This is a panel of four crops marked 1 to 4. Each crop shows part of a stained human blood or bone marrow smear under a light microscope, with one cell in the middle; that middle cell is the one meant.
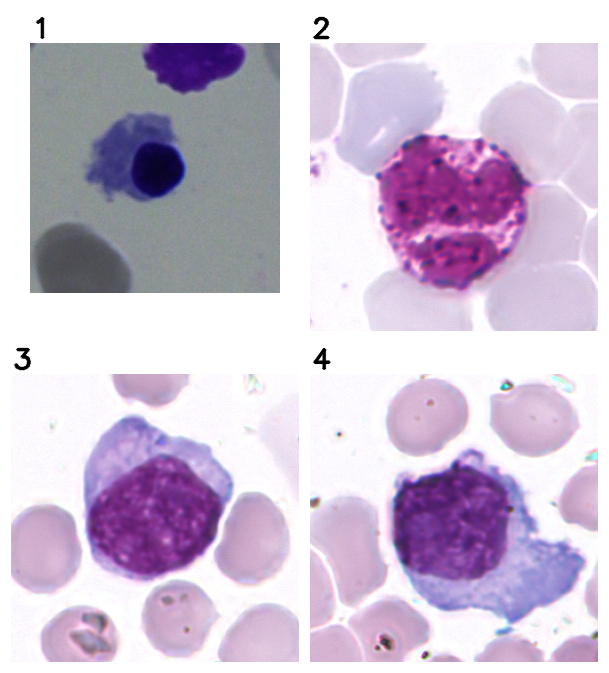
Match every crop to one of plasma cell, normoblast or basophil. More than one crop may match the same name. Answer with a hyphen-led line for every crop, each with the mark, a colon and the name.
- 1: normoblast
- 2: basophil
- 3: plasma cell
- 4: plasma cell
